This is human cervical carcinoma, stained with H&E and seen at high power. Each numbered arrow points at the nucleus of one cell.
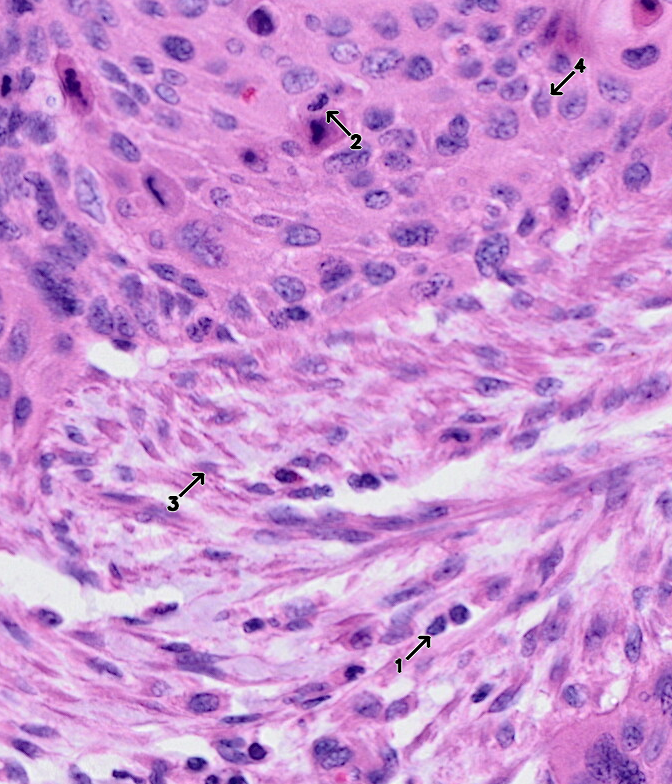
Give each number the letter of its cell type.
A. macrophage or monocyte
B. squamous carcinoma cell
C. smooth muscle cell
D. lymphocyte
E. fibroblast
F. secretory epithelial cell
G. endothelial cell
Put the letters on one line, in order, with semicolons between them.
D; B; E; B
